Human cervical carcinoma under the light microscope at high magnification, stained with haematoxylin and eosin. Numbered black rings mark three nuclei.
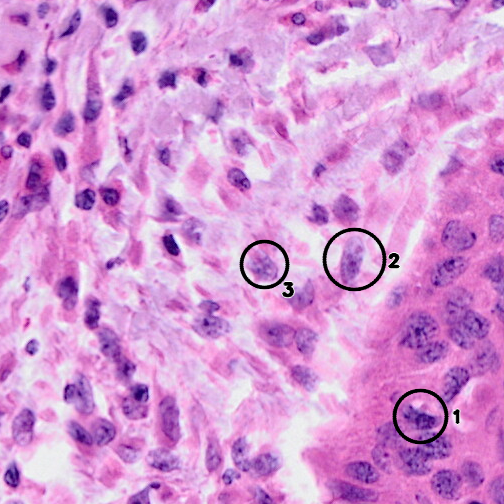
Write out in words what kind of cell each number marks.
Cell 1 is a squamous carcinoma cell, cell 2 is a fibroblast and cell 3 is a fibroblast.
